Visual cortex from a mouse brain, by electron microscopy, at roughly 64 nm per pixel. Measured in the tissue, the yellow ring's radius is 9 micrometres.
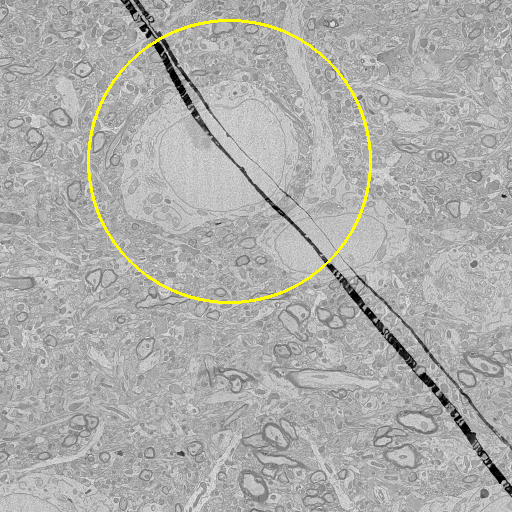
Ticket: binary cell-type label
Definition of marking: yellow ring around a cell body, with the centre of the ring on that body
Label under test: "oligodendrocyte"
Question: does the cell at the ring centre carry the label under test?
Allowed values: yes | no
no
